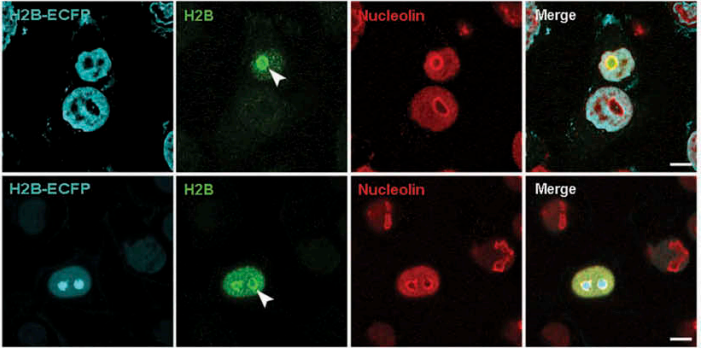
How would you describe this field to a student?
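Cultured cells are shown with their nuclei in cyan, green and red channels and an overlay. In the upper row two rounded cyan nuclei contain darker holes, and red rings outline the nucleoli within them. In the lower row one nucleus shows two bright cyan spots, and the green channel is bright over the same nucleus with a spot at the arrowhead. In the overlay the bright spots sit inside the nuclei where the red bodies lie.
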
